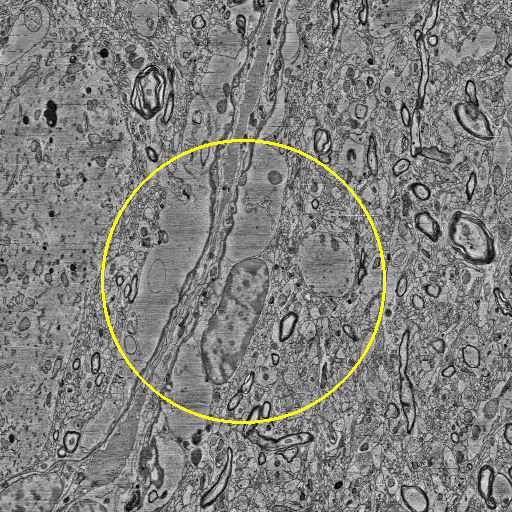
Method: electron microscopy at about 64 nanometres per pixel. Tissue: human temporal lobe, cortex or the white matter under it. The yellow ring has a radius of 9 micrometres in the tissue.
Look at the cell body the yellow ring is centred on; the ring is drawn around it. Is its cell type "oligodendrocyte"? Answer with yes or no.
No, its cell type is another.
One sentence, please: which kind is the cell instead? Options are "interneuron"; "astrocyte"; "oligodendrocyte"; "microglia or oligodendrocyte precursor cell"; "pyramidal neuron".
The cell enclosed by the ring is a microglial cell or oligodendrocyte precursor cell.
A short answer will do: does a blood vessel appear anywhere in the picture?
Yes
